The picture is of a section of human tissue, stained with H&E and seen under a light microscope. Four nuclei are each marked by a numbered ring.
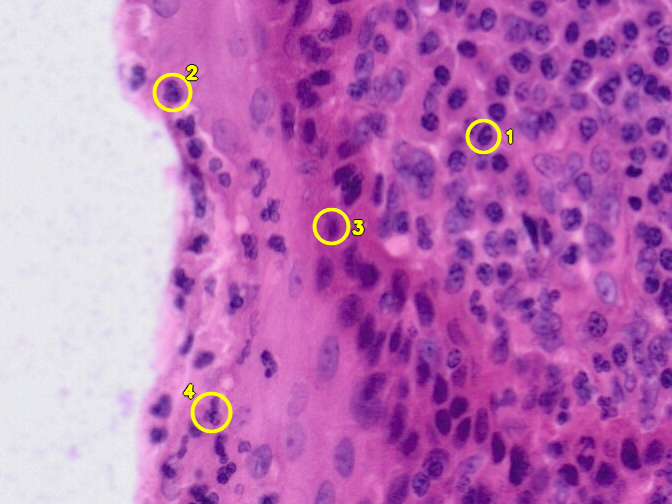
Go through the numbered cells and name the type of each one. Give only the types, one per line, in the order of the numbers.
plasma cell
squamous epithelial cell
squamous epithelial cell
squamous epithelial cell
